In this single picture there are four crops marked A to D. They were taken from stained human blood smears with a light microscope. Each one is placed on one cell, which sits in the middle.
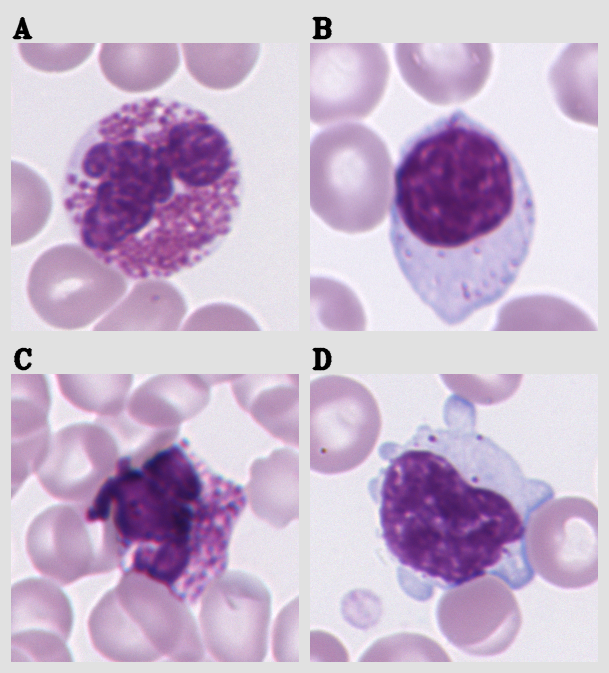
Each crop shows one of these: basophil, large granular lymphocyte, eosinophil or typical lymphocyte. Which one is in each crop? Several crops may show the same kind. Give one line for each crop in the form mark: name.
A: eosinophil
B: large granular lymphocyte
C: basophil
D: large granular lymphocyte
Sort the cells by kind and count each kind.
large granular lymphocyte: 2
eosinophil: 1
basophil: 1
